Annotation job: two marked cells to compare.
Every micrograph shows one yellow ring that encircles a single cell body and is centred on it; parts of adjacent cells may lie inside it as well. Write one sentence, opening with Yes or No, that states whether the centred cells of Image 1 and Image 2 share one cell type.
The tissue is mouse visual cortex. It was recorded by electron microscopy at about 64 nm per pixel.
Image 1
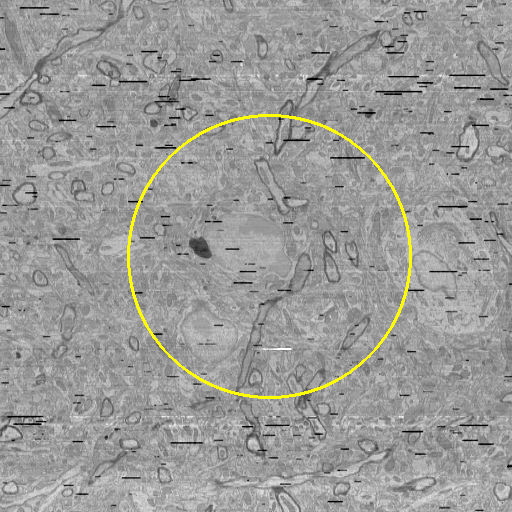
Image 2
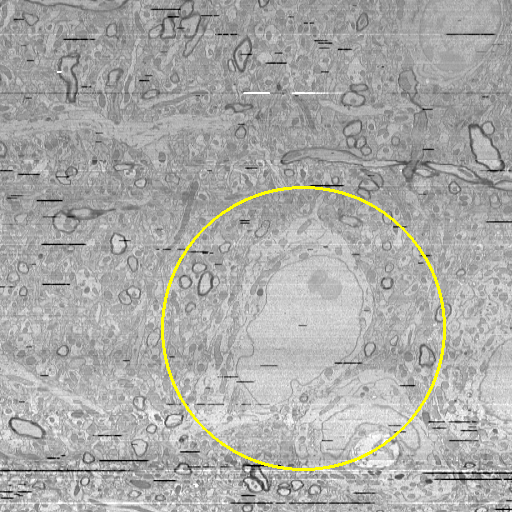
No, the cell centred in Image 1 and the cell centred in Image 2 are of two types.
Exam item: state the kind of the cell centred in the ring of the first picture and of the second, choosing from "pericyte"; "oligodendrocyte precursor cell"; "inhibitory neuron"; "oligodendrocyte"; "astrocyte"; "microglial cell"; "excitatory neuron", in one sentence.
The first picture shows a microglial cell at the ring centre and the second shows an excitatory neuron.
